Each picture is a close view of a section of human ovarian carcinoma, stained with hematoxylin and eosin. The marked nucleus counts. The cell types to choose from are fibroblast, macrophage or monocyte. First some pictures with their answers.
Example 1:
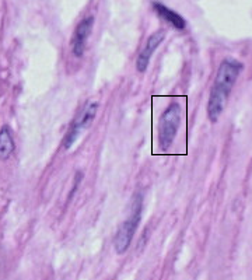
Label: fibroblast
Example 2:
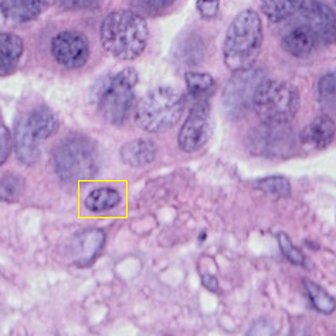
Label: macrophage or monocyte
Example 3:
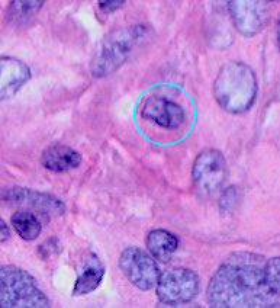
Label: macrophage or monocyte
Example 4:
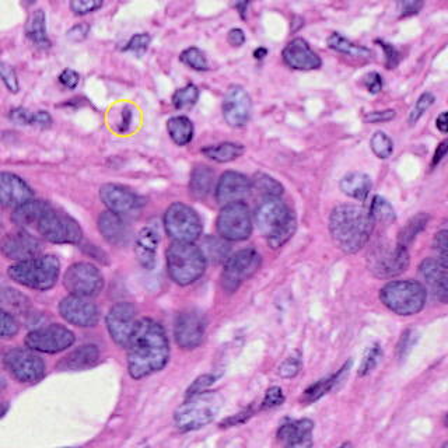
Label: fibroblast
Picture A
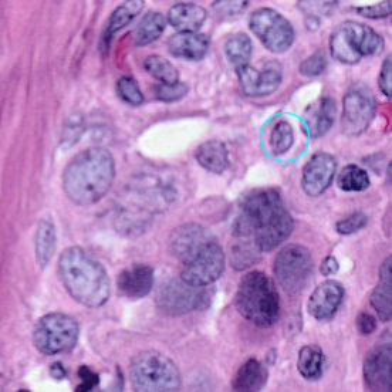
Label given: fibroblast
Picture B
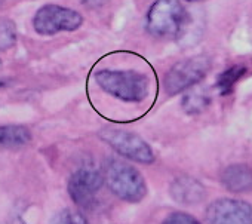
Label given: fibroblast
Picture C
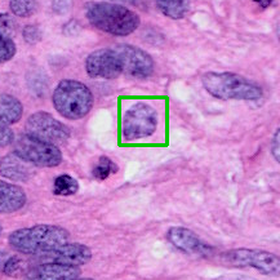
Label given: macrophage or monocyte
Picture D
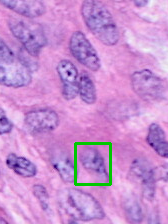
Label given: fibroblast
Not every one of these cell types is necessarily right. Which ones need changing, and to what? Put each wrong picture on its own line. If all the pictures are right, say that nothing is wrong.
A: change fibroblast to macrophage or monocyte
B: change fibroblast to macrophage or monocyte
